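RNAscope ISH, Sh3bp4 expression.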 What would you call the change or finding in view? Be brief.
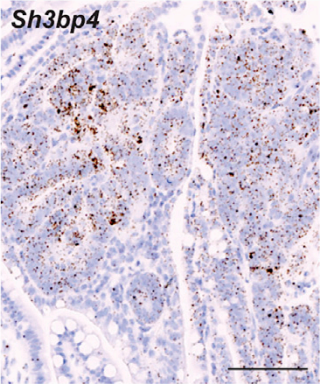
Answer: Adenomas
